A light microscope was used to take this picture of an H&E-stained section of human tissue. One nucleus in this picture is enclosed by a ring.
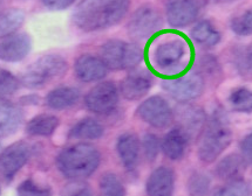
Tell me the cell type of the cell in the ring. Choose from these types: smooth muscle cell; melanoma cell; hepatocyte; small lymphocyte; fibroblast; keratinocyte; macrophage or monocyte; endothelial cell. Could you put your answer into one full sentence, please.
Right, so the cell in the ring is a macrophage or monocyte, to answer that.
